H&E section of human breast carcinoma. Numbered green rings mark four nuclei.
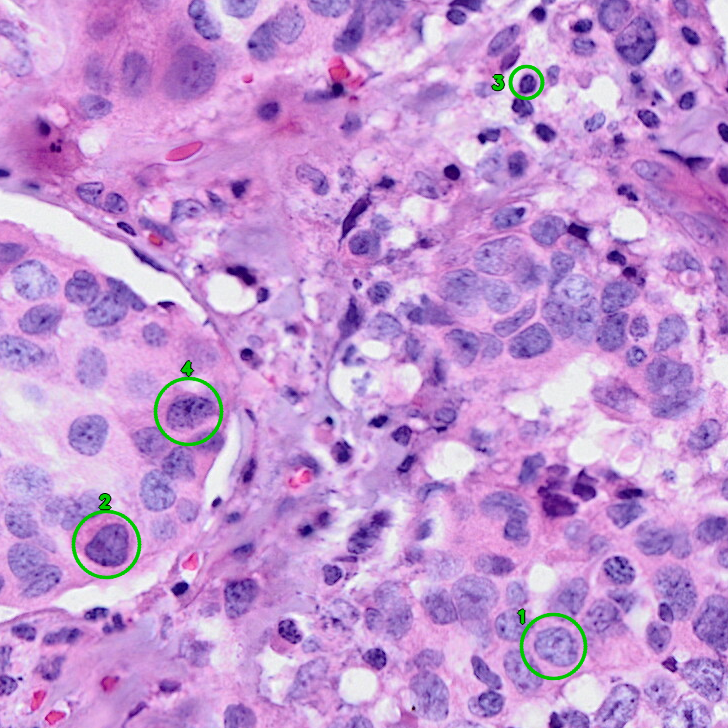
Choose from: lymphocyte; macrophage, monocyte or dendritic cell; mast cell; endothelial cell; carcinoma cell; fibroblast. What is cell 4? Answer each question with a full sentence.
Here, the cell given the number 4 is a carcinoma cell.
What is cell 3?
The mark numbered 3 indicates the nucleus of a lymphocyte.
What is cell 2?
The cell pointed out by number 2 is a carcinoma cell.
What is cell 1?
Identified by the number 1, the cell is a carcinoma cell.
